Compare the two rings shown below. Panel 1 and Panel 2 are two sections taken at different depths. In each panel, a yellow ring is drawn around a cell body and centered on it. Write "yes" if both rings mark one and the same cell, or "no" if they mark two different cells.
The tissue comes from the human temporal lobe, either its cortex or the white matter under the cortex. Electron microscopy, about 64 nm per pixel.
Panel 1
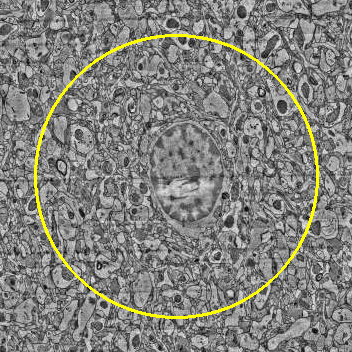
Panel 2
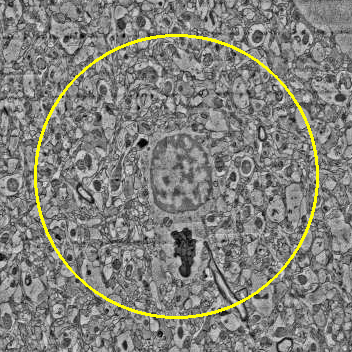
yes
